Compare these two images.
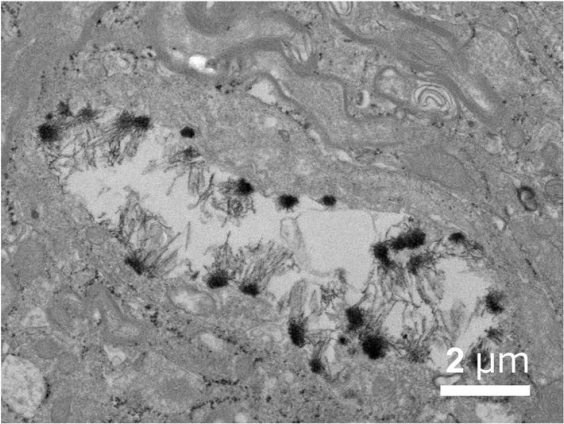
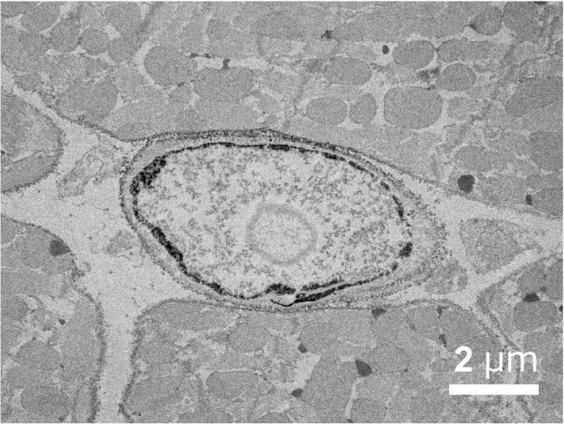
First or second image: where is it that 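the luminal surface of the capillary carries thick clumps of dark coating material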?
the first image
